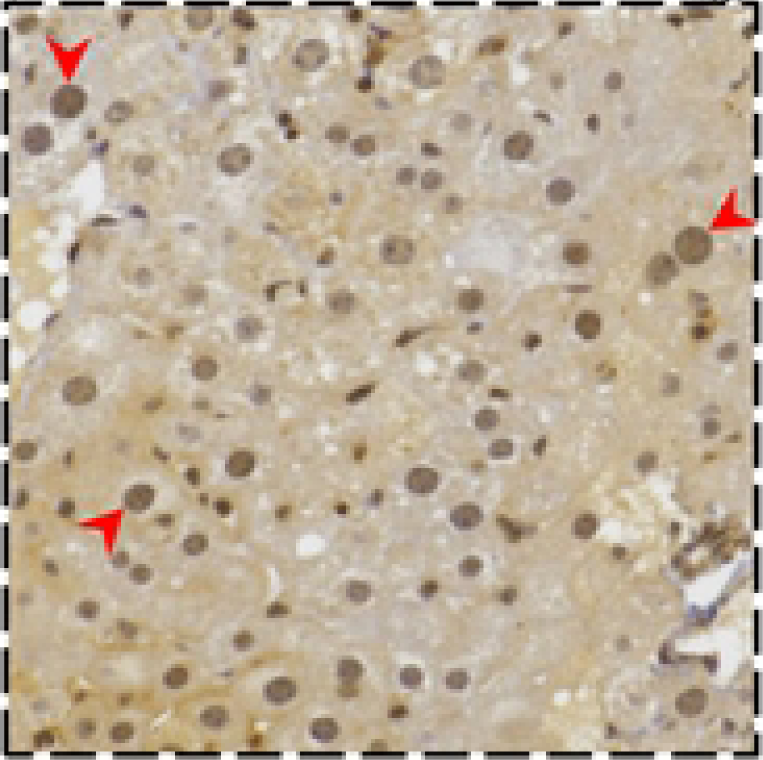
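Liver parenchyma of hepatocytes whose cytoplasm is diffusely light brown. Many round nuclei are stained dark brown, some clearly larger than others, while a few nuclei remain bluish.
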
